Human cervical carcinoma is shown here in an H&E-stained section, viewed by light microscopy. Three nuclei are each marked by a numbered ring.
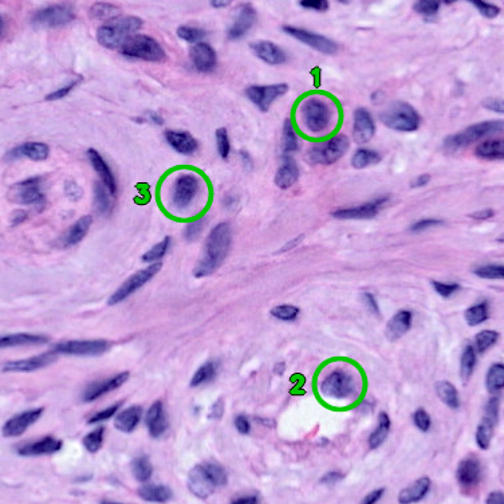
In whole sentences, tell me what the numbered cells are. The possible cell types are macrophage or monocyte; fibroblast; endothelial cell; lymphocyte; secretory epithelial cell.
Cell 1 is an endothelial cell, cell 2 is an endothelial cell and cell 3 is a fibroblast.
